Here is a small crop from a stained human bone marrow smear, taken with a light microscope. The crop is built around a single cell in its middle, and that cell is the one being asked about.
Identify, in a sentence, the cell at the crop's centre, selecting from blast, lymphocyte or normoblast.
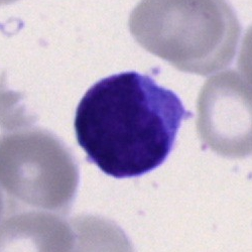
Centred in the crop is a blast.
